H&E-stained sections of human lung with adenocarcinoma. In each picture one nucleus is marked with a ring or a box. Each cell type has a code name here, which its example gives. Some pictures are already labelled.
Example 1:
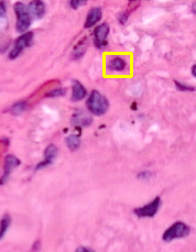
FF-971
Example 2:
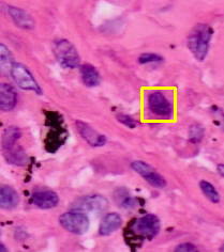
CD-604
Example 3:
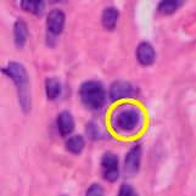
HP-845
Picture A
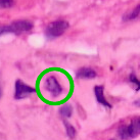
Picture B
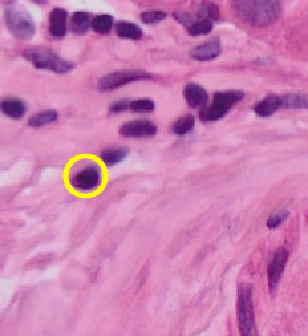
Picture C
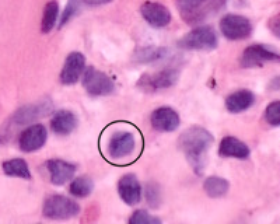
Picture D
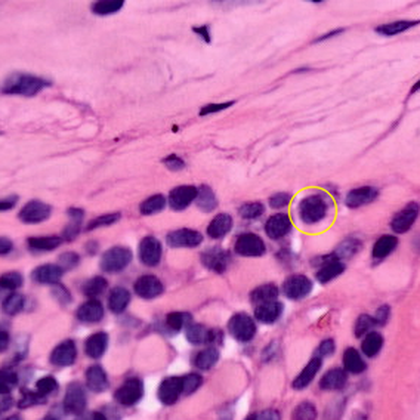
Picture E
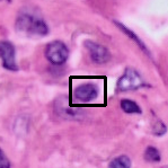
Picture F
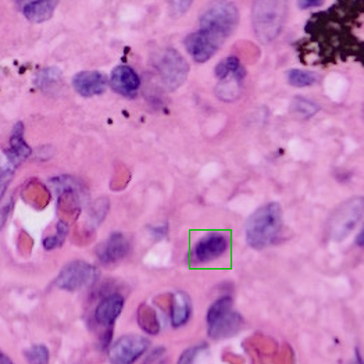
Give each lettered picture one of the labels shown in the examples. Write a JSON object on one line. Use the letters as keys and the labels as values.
{"A": "FF-971", "B": "HP-845", "C": "HP-845", "D": "HP-845", "E": "HP-845", "F": "CD-604"}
